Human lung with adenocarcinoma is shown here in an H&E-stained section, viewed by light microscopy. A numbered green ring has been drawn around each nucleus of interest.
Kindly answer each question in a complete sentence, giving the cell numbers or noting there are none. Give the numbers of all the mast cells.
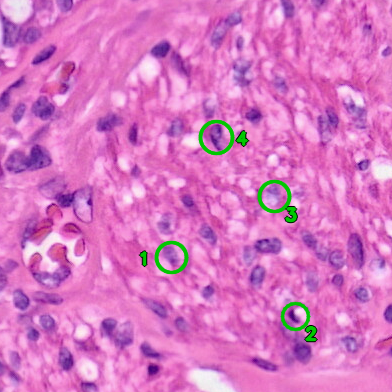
Cell 4 is a mast cell, and it is the only numbered cell that is.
